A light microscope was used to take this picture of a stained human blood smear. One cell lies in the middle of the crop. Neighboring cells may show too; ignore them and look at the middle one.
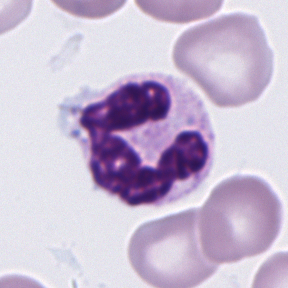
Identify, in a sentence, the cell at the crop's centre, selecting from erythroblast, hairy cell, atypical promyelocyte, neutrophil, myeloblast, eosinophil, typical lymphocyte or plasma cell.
By type, the central cell of the crop is a neutrophil.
